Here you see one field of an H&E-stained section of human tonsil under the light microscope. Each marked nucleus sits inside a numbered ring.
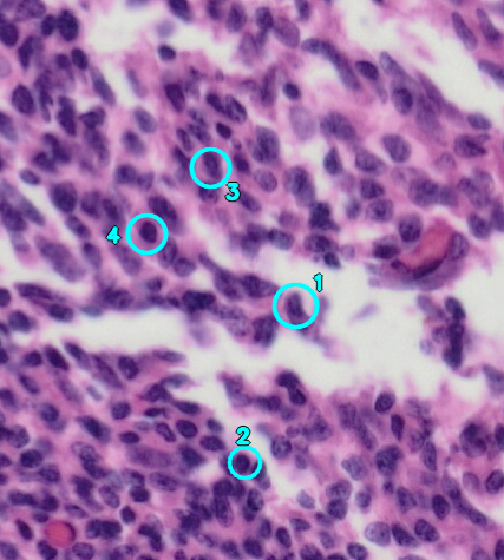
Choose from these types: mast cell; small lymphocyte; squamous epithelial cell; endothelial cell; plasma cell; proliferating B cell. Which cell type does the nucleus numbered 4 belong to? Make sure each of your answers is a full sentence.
Among the marked nuclei, number 4 belongs to a proliferating B cell.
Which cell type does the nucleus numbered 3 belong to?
The identity of cell 3 is that of a proliferating B cell.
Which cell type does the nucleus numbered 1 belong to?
Cell 1 of the marked set is a proliferating B cell.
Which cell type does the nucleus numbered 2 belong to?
The cell marked with the number 2 is a small lymphocyte.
